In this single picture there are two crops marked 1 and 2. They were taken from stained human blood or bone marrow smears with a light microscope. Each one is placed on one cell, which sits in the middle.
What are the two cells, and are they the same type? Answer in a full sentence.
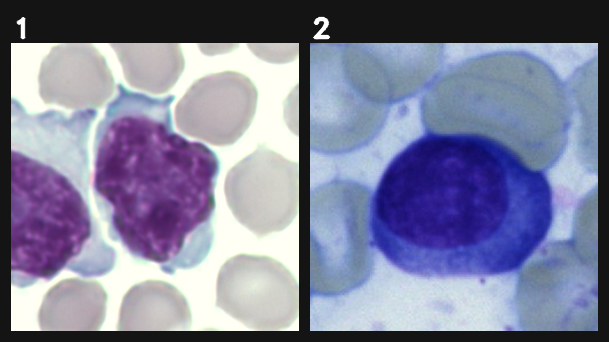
Yes, the two cells in the two crops are plasma cells.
